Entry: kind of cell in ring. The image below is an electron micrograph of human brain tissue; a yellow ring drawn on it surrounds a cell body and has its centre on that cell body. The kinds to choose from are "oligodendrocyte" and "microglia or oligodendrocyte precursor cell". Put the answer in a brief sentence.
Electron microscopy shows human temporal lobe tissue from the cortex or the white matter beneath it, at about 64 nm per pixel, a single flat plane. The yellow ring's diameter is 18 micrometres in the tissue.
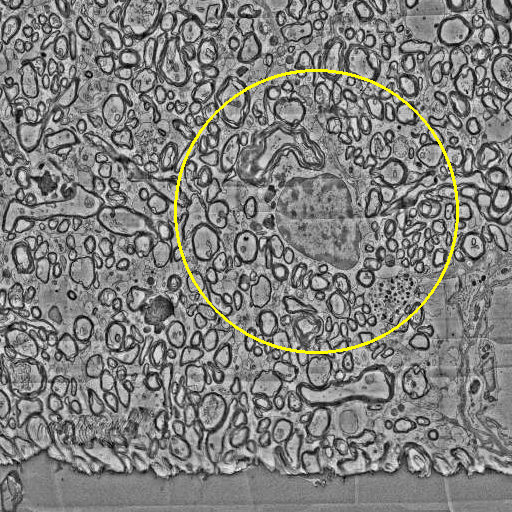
The ring has been drawn around a microglial cell or oligodendrocyte precursor cell.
